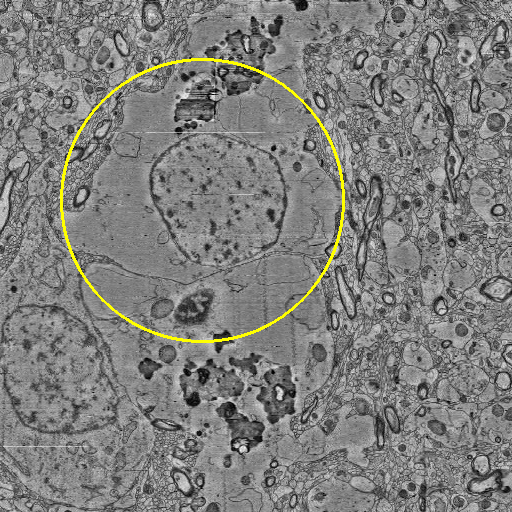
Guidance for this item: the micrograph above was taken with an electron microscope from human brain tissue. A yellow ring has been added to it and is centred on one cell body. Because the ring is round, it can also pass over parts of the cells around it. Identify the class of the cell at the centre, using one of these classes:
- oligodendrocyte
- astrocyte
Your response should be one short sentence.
The ring surrounds the body of an astrocyte.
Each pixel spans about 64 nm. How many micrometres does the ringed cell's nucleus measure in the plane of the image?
About 9 micrometres across in this plane.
